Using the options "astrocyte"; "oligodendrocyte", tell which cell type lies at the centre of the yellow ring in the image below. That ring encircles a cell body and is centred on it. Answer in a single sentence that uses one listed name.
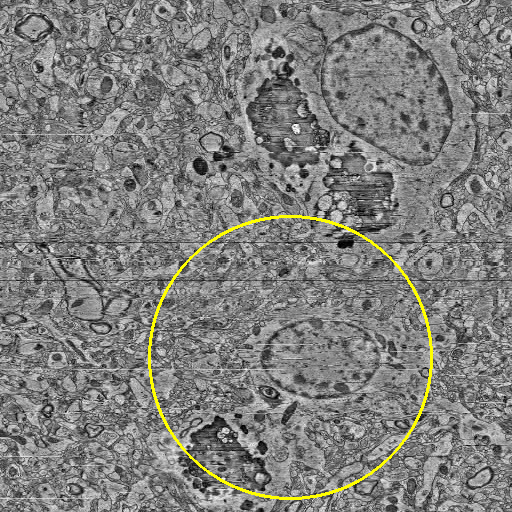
At the centre of the yellow ring lies the body of an astrocyte.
